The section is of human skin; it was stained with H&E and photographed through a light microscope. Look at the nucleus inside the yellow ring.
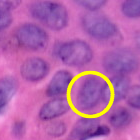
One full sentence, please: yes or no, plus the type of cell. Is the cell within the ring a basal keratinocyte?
Yes, the cell within the ring in this section represents a basal keratinocyte.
